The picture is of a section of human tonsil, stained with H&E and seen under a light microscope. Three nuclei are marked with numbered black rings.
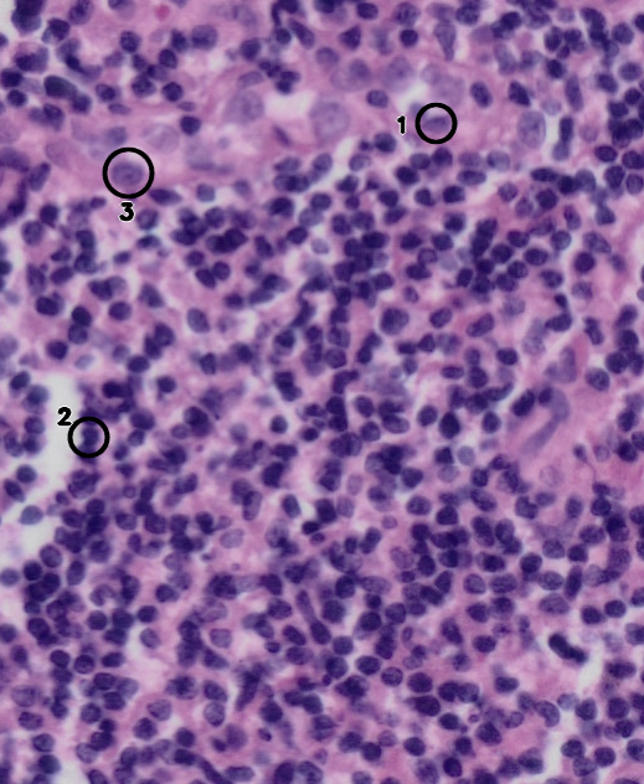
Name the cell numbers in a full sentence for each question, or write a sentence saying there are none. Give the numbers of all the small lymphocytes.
Only the cell carrying number 2 is a small lymphocyte.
